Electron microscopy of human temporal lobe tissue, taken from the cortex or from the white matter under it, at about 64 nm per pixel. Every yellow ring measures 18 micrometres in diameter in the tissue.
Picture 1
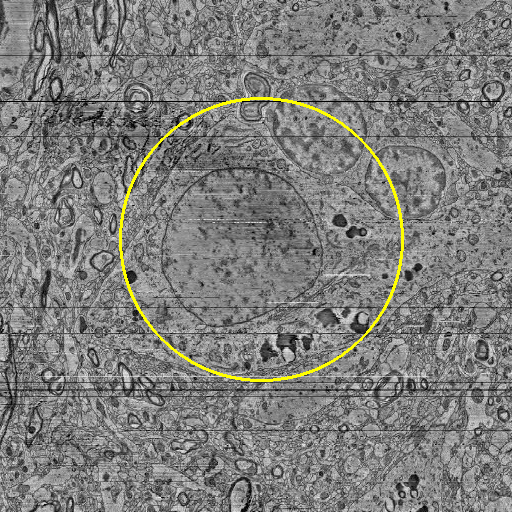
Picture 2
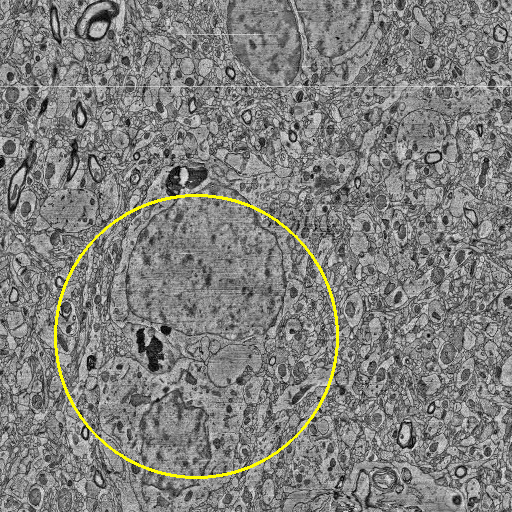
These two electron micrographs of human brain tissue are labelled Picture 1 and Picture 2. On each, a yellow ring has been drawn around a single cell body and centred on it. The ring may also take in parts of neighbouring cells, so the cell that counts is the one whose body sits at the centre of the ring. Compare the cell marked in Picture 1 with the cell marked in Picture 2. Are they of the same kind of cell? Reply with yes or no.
no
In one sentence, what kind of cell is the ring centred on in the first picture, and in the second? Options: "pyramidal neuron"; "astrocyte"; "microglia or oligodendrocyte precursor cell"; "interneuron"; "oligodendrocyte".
The cell at the centre of the second ring is an interneuron; the first ring's cell is a pyramidal neuron.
